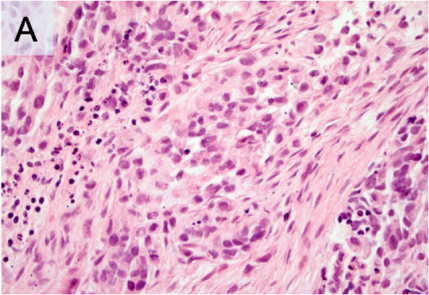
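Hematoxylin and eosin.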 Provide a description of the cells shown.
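This is a tumour with a predominantly solid growth pattern infiltrating the surrounding stroma. Tumour cells with purple oval to spindled nuclei form sheets, nests and strands. Pink fibrous stroma with elongated cells separates the tumour cell groups. No glands or other organised structures are formed by the tumour cells.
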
